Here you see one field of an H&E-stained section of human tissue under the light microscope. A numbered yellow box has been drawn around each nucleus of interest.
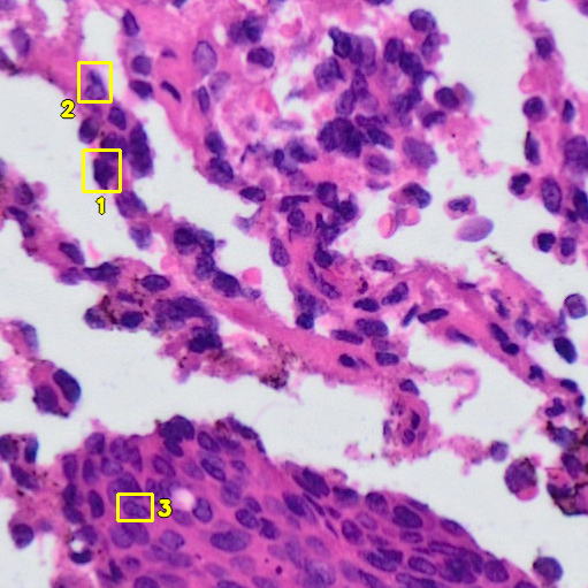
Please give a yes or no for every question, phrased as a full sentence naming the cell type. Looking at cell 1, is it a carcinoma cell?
Yes, number 1 is assigned to a cell that is a carcinoma cell.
